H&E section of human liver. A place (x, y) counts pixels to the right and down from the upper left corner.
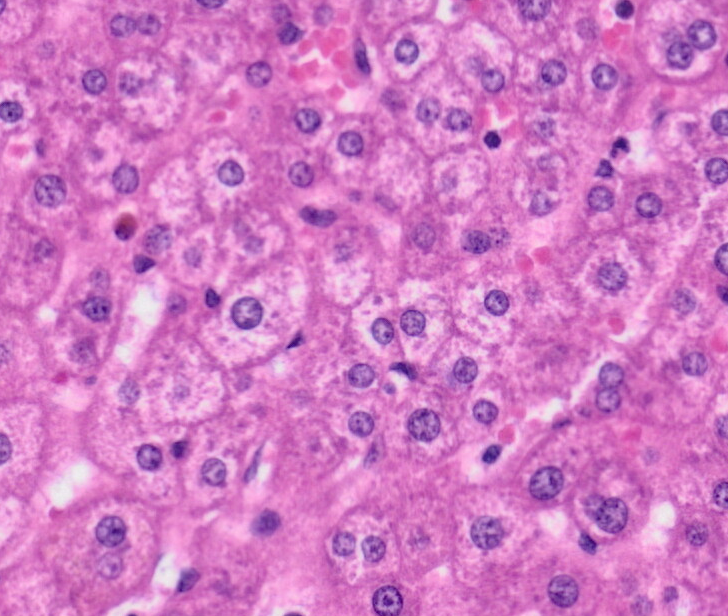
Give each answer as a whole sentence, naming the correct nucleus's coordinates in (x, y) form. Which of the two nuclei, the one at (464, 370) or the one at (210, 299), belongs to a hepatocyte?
The nucleus found at (464, 370) belongs to a hepatocyte.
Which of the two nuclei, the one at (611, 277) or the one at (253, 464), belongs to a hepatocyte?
The nucleus of a hepatocyte is the one at (611, 277).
